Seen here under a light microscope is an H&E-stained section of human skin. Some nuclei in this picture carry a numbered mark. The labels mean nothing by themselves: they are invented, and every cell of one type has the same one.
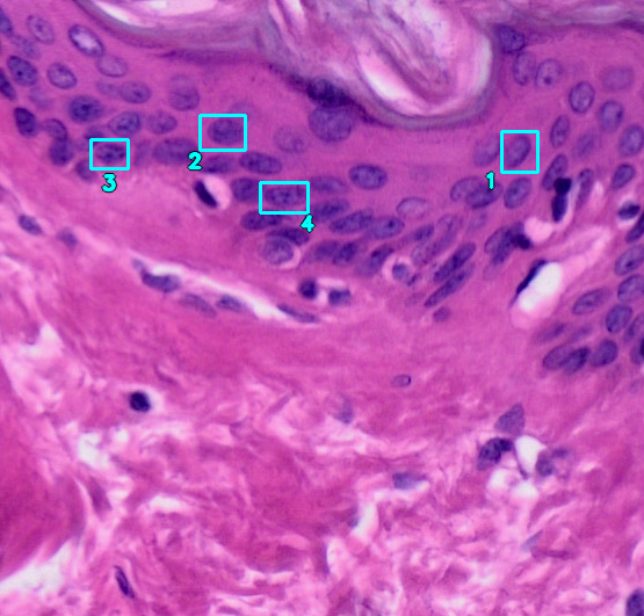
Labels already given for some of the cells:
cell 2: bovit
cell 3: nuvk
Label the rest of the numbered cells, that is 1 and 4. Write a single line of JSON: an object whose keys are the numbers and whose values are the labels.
{"1": "bovit", "4": "nuvk"}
